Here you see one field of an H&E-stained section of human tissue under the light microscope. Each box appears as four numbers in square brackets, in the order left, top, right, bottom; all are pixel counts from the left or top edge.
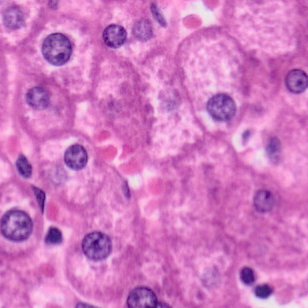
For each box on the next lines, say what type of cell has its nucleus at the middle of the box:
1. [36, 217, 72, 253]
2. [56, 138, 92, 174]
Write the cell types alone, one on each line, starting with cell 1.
lymphocyte
hepatocyte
